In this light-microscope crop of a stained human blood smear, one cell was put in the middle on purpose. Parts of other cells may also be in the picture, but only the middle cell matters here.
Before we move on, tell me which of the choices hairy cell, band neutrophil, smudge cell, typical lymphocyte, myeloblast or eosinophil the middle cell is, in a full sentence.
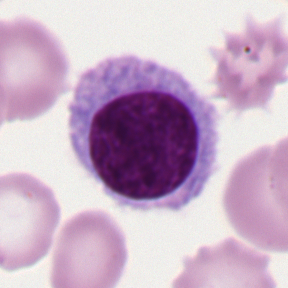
In the central position of this crop, the cell is a hairy cell.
